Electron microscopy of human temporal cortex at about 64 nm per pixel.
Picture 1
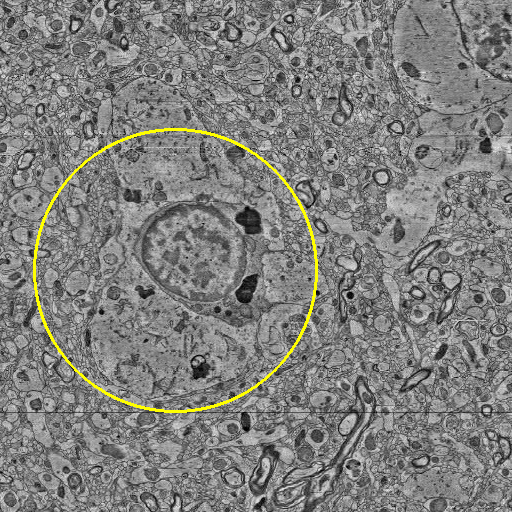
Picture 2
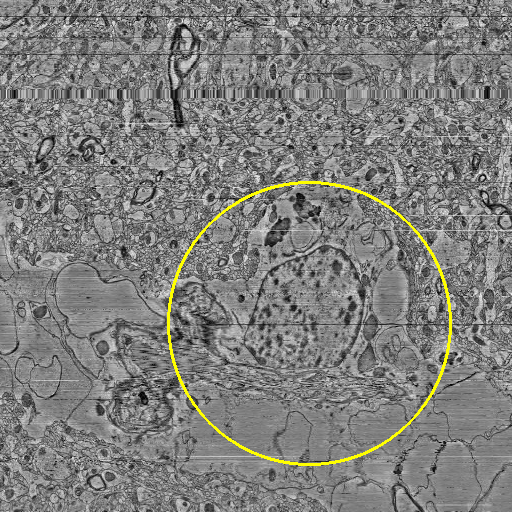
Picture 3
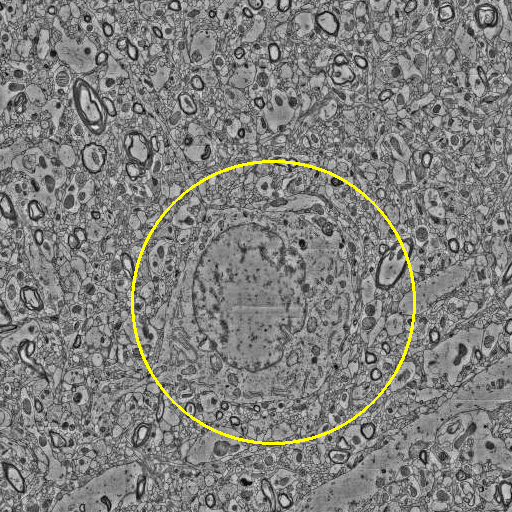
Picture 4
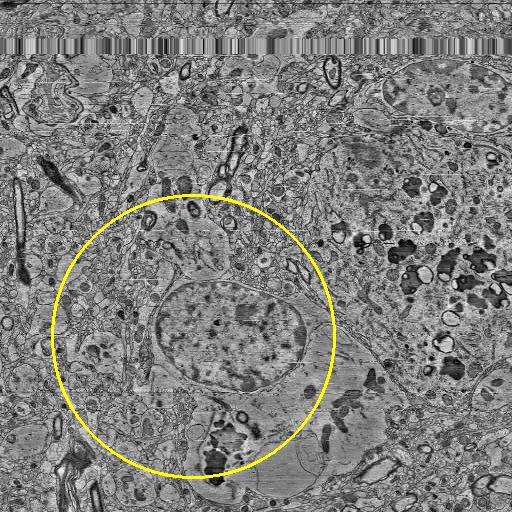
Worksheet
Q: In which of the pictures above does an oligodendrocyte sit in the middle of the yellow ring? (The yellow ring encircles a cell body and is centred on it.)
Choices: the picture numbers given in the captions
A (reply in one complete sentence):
In picture 1, the cell sitting at the centre of the ring is the match.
